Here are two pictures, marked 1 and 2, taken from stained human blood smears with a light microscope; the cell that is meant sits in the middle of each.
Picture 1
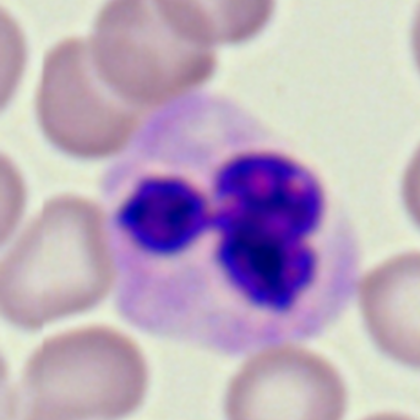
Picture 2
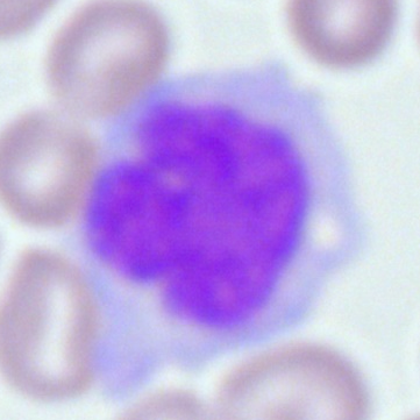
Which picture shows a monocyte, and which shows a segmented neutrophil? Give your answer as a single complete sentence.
In picture 1 the cell is a segmented neutrophil; in picture 2, a monocyte.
